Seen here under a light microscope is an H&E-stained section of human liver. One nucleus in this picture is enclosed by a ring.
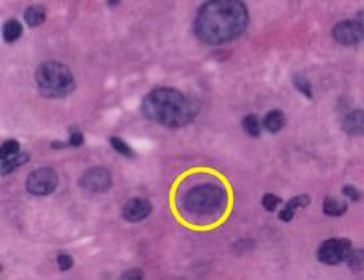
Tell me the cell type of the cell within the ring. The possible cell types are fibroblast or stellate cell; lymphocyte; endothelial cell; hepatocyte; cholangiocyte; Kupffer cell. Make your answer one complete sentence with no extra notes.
In cellular terms, the cell within the ring is a hepatocyte.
